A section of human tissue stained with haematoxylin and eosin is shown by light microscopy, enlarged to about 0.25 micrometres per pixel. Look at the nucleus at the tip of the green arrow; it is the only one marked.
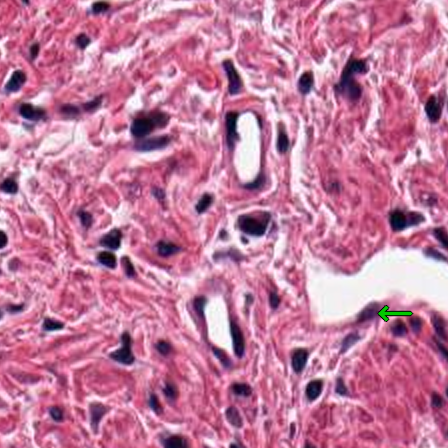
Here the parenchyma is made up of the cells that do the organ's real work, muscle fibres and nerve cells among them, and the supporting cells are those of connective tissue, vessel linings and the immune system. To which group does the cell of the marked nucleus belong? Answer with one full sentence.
The marked nucleus is recognized as that of a supporting cell.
